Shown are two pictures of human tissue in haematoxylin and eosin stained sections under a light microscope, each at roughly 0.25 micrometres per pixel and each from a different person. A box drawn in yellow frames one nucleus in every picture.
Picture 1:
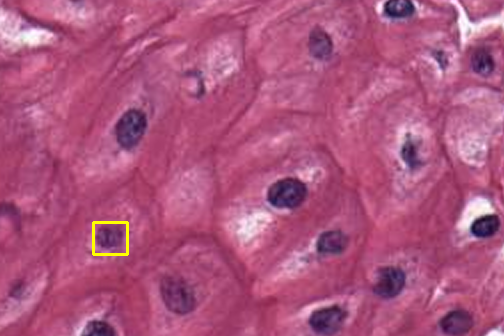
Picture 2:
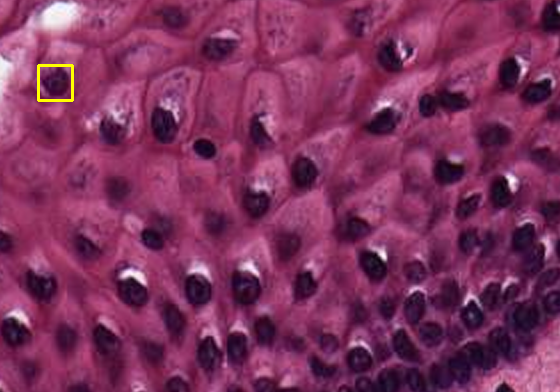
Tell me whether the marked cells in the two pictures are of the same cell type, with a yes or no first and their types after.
Yes, both are squamous epithelial cells.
